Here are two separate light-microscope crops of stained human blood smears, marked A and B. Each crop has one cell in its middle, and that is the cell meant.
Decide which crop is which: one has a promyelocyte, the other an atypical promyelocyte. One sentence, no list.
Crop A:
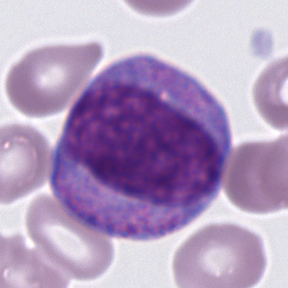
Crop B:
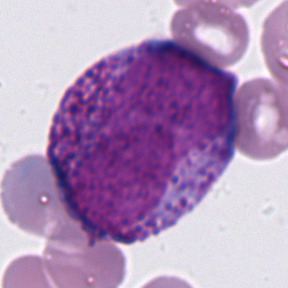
The designated cell in crop A is an atypical promyelocyte, and the designated cell in crop B is a promyelocyte.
